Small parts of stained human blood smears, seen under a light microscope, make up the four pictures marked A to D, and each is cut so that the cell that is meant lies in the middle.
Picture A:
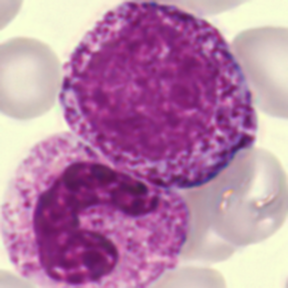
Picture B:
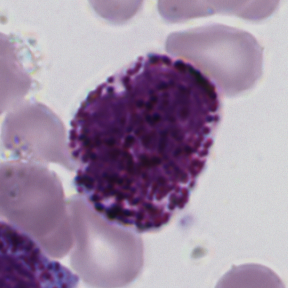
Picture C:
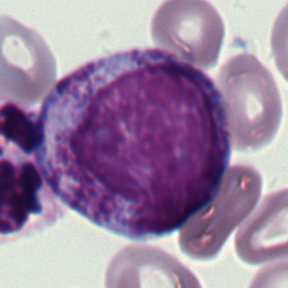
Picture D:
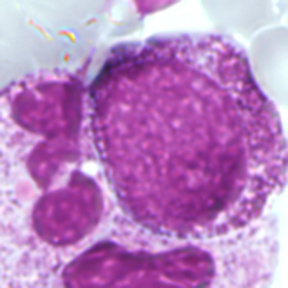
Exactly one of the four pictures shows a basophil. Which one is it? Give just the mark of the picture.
B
